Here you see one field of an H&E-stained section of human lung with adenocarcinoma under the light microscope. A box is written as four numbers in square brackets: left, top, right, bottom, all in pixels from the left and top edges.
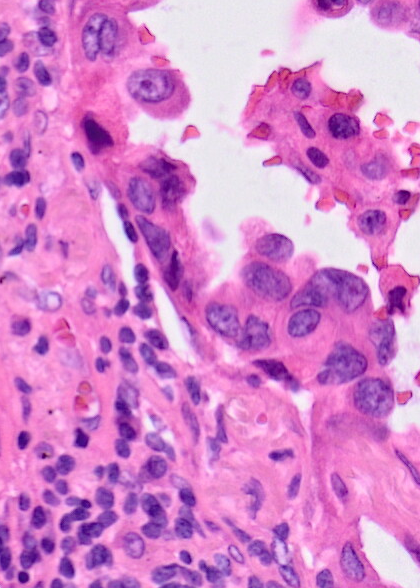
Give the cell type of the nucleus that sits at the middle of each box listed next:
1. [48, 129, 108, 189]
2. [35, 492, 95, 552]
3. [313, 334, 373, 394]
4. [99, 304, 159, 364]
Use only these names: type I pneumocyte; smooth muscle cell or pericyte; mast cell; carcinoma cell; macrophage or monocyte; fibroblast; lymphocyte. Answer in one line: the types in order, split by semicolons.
lymphocyte; lymphocyte; carcinoma cell; lymphocyte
